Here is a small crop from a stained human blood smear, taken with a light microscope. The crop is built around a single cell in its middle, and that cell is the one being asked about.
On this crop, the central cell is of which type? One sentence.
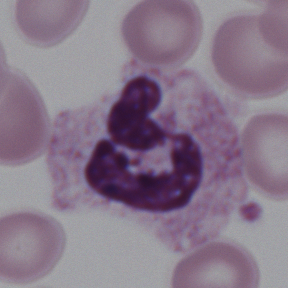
The cell centred in this crop is categorized as a segmented neutrophil.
